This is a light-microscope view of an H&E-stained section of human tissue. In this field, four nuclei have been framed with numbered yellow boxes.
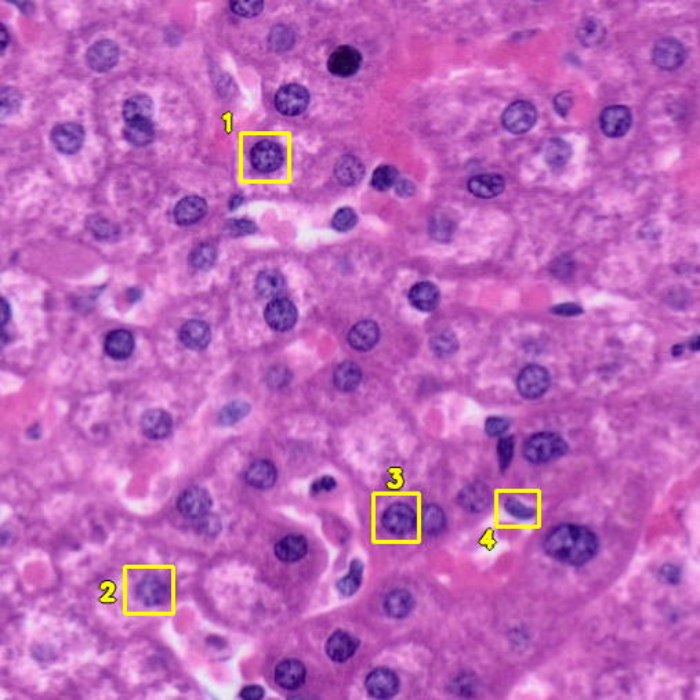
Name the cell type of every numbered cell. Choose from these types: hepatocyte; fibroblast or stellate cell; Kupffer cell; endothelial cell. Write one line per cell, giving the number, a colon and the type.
1: hepatocyte
2: hepatocyte
3: hepatocyte
4: endothelial cell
